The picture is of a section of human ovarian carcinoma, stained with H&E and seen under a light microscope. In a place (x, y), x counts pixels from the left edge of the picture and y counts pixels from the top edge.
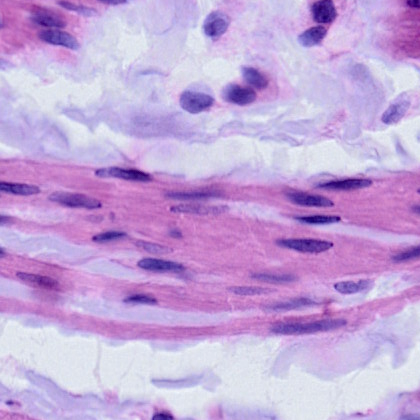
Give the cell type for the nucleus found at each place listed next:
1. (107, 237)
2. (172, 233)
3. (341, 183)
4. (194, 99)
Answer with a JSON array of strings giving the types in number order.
["smooth muscle cell", "smooth muscle cell", "smooth muscle cell", "fibroblast"]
